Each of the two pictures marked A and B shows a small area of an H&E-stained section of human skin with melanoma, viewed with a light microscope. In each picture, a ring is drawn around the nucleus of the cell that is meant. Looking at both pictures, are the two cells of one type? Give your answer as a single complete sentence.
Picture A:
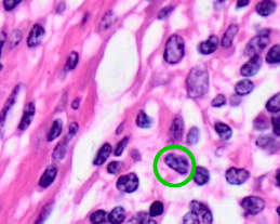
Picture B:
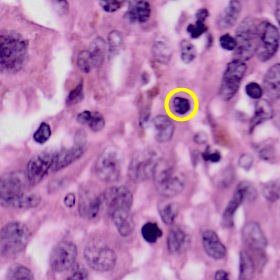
Yes, they are the same type: both are lymphocytes.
